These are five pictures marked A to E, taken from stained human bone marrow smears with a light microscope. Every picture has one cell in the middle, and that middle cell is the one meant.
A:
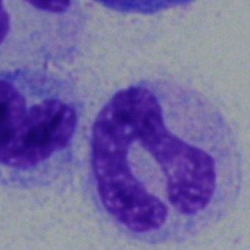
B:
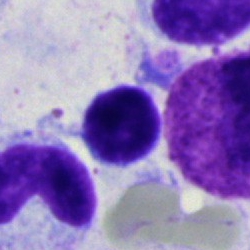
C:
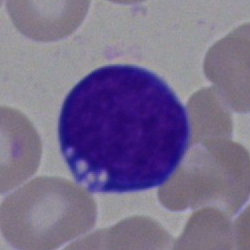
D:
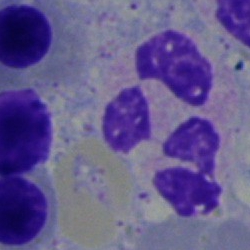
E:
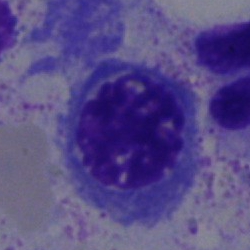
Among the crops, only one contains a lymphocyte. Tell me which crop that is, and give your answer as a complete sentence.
Crop B alone, of all the crops, shows a lymphocyte.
